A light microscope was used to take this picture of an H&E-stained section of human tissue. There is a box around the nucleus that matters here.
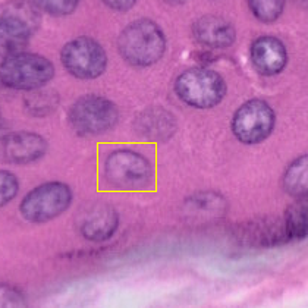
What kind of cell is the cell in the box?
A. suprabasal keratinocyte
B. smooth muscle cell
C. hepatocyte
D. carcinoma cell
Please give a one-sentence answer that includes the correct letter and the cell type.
Since the cell in the box is a suprabasal keratinocyte, the right option is A.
